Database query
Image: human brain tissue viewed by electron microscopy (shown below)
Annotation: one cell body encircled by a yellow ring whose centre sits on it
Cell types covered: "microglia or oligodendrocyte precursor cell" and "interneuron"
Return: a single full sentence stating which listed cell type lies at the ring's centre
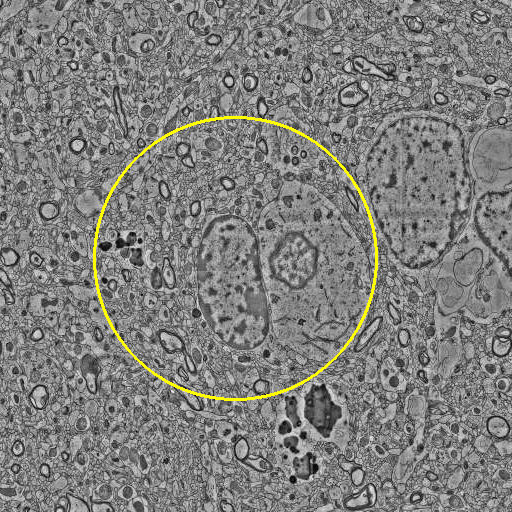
In the image, the cell lying at the ring's centre is a microglial cell or oligodendrocyte precursor cell.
